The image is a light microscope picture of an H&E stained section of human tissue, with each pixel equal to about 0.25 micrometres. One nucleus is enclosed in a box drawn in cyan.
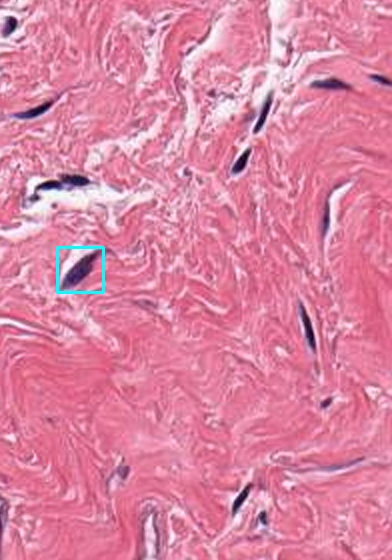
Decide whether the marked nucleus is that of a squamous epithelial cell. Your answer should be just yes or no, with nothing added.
no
